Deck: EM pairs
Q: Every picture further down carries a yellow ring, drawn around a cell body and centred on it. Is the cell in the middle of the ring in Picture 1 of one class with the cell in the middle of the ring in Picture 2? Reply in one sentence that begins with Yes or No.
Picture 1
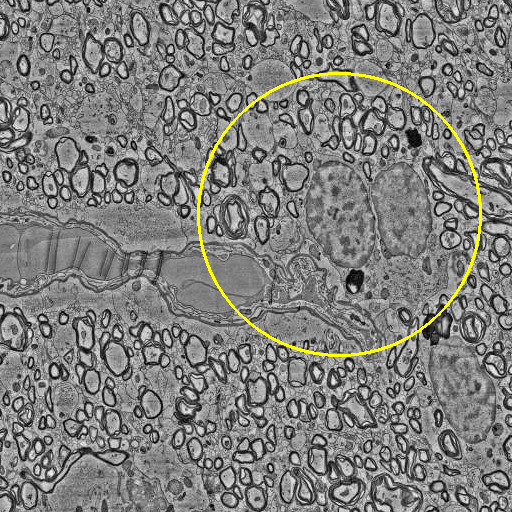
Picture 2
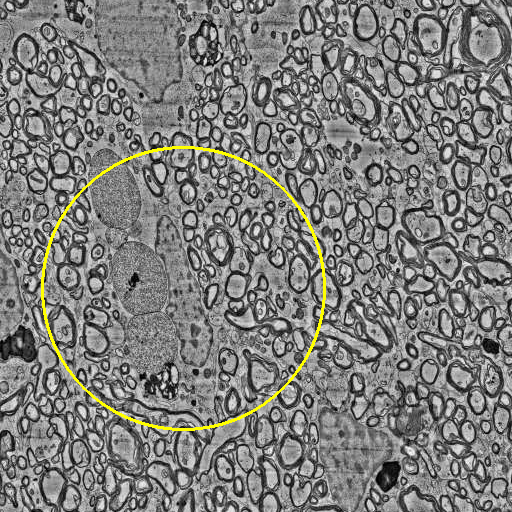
No, the cell centred in the ring of Picture 1 and the one in Picture 2 belong to separate classes.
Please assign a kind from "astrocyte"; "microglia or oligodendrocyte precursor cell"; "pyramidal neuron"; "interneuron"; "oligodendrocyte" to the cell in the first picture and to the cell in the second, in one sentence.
In the first picture we have an oligodendrocyte, and in the second, an astrocyte.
